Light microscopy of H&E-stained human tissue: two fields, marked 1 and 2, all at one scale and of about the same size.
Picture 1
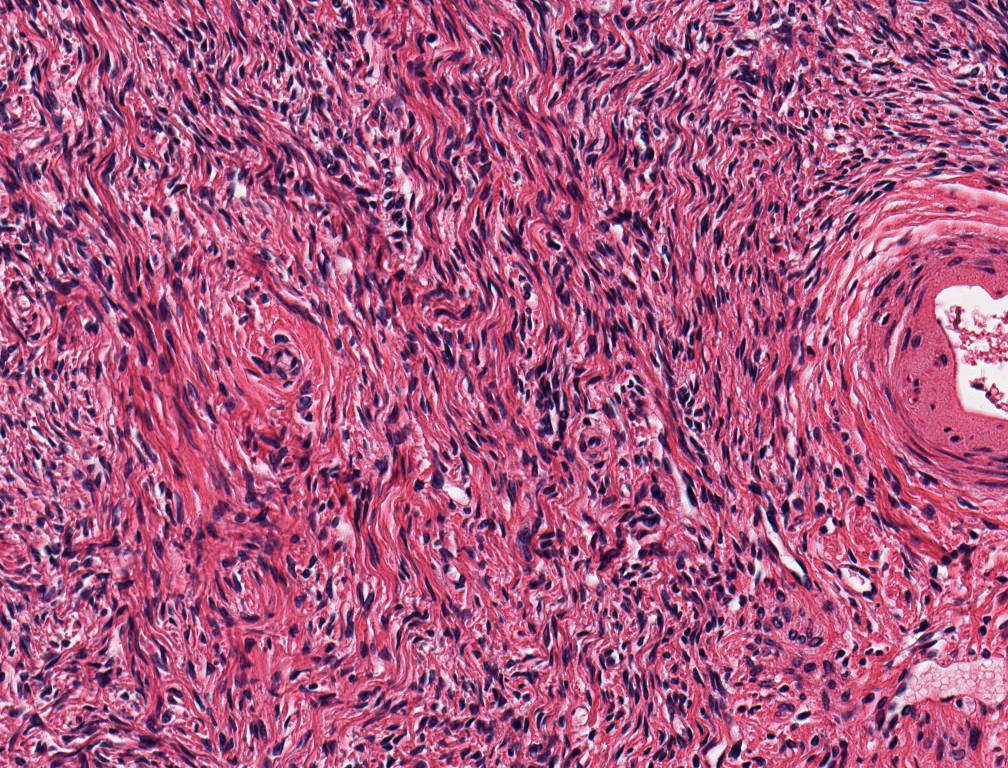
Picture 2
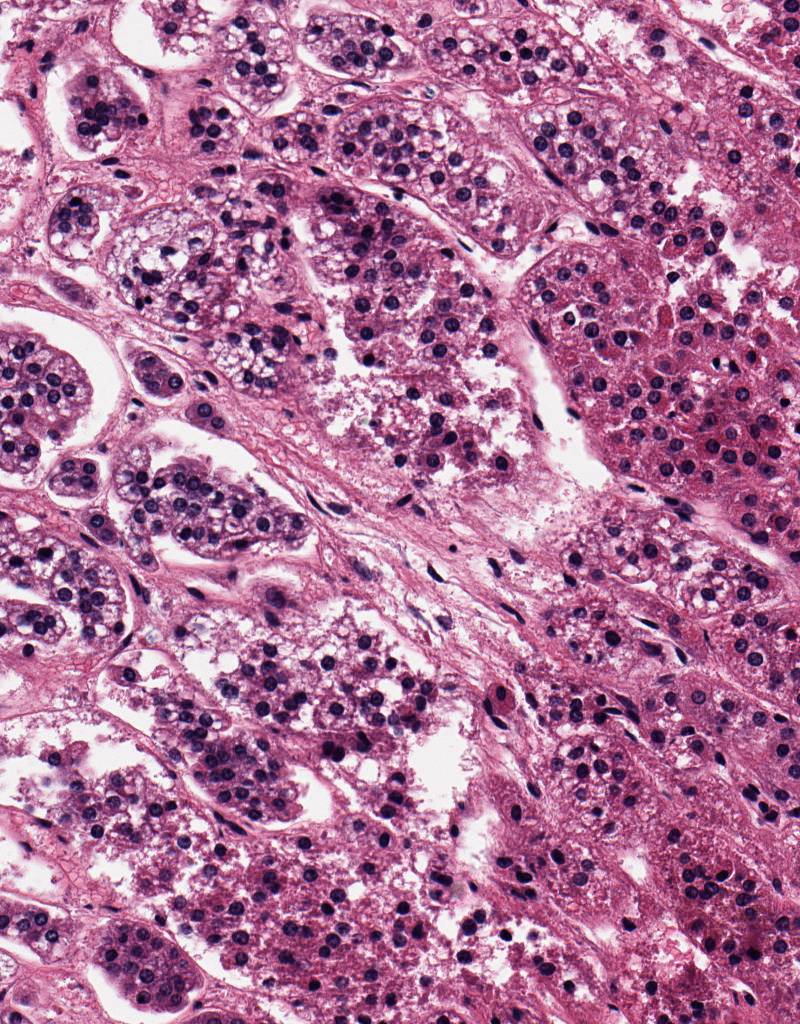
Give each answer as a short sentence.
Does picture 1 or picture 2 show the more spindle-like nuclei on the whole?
It is picture 1 whose nuclei are the more elongated.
